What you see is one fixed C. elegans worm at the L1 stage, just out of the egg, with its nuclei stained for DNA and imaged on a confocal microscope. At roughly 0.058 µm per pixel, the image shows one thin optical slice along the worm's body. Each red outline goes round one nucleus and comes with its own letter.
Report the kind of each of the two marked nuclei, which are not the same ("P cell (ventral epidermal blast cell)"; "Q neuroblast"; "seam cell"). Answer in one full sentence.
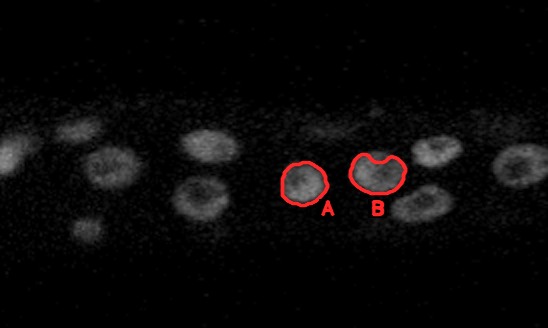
The nucleus A is that of a Q neuroblast, while B is that of a seam cell.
